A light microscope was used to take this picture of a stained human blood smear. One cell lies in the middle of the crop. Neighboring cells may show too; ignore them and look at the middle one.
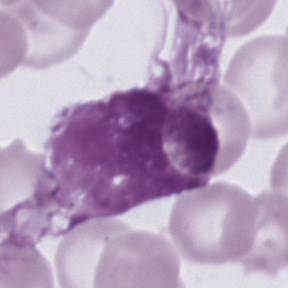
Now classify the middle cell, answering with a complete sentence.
Seen at the centre of the crop is a smudge cell.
